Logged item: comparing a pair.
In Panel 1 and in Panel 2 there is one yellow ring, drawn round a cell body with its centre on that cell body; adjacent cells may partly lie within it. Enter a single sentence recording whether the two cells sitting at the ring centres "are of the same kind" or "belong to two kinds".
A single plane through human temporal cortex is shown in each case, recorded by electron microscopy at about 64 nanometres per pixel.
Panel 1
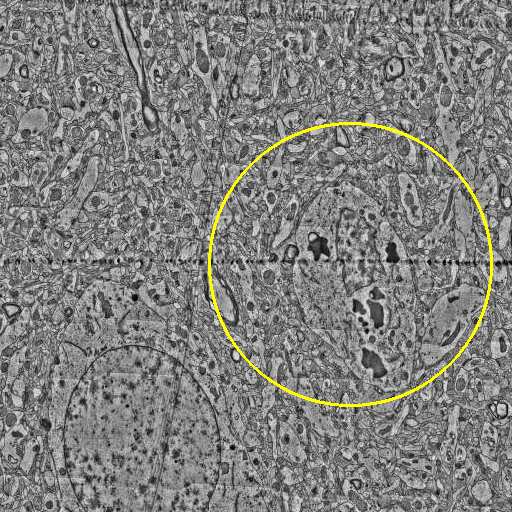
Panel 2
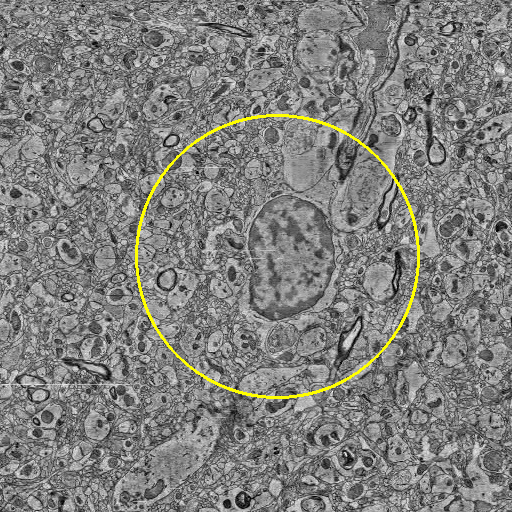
Logged: the cells centred in the rings of Panel 1 and Panel 2 belong to two kinds.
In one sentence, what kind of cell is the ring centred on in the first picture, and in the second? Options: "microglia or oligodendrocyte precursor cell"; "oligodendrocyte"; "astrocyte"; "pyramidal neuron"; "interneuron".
The cell at the centre of the second ring is a microglial cell or oligodendrocyte precursor cell; the first ring's cell is an interneuron.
